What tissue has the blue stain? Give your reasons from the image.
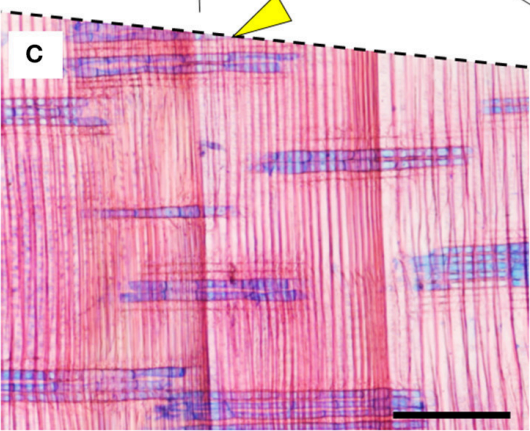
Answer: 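Blue-stained bands of cells run horizontally across the vertical red-walled cells. Each band is a ribbon of several rows of elongated cells lying at right angles to the long cells.
Rays.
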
